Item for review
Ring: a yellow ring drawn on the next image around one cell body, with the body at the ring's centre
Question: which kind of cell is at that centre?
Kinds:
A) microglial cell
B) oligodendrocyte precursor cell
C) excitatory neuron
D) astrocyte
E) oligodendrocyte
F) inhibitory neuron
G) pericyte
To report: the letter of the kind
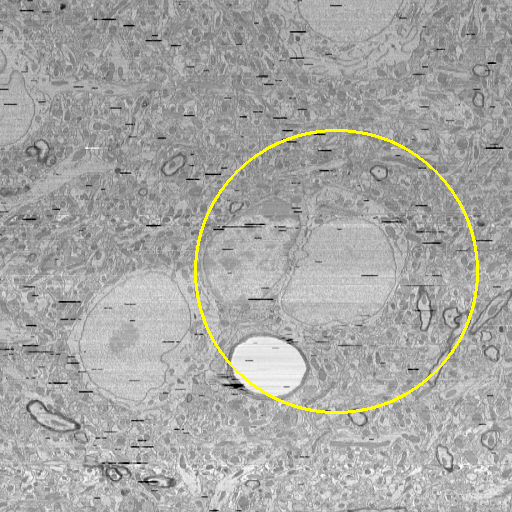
C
